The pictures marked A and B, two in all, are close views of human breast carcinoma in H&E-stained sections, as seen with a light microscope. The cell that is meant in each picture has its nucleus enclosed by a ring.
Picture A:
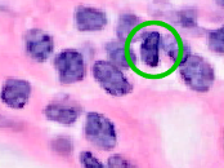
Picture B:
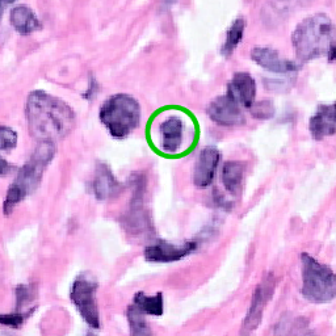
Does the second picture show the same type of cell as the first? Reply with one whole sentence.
Yes; the cells in both pictures are lymphocytes.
